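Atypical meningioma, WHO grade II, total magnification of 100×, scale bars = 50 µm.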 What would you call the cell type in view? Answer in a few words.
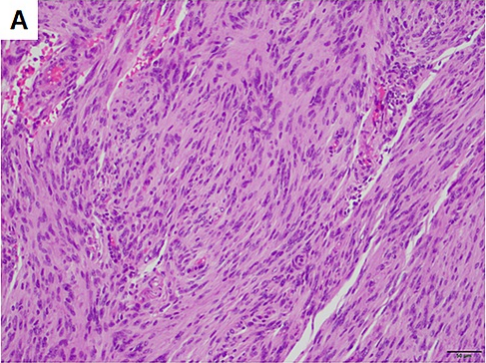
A: Spindled and plump cells.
